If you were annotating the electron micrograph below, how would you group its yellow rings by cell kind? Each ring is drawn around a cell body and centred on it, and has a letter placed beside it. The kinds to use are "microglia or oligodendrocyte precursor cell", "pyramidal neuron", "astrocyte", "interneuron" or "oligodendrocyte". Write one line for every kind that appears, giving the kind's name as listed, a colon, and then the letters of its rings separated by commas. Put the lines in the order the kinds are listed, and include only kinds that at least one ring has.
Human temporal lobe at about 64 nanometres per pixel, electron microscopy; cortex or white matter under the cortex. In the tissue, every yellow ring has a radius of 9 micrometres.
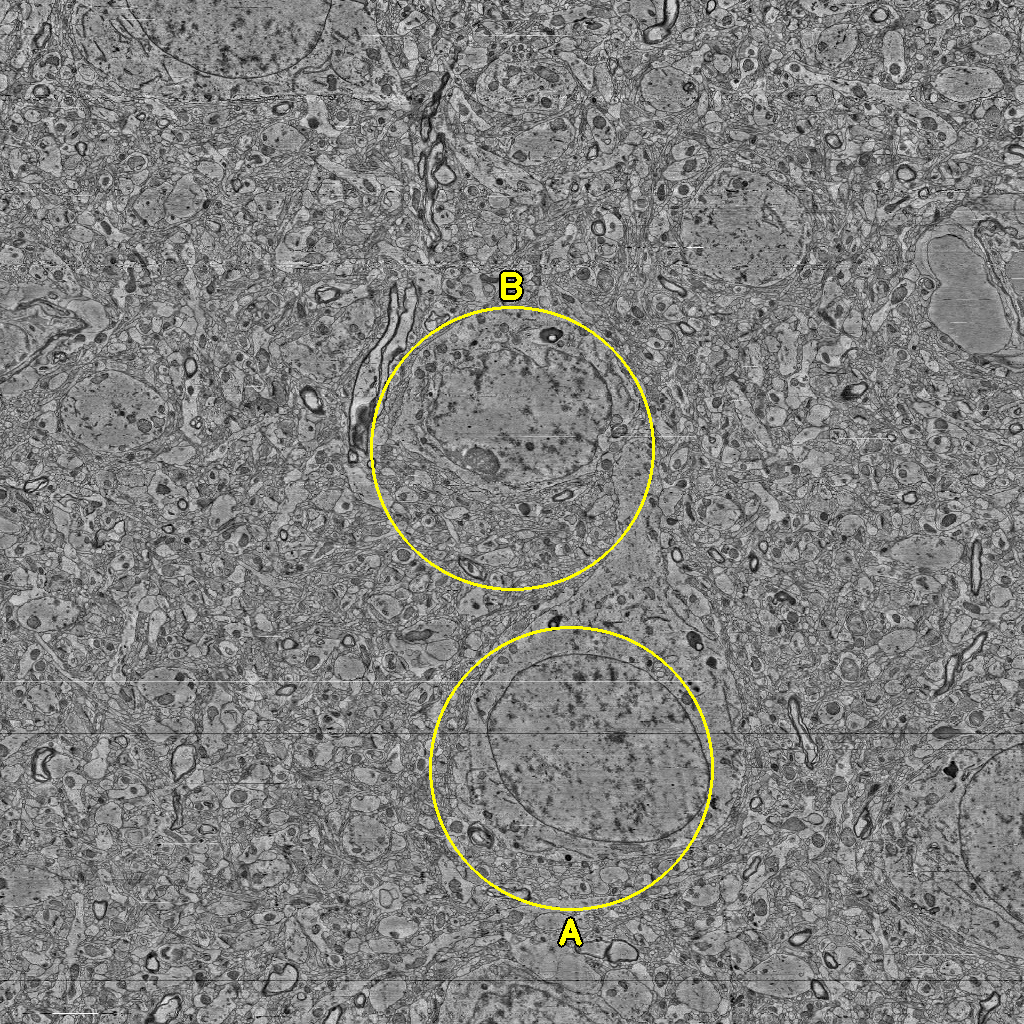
pyramidal neuron: A
interneuron: B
